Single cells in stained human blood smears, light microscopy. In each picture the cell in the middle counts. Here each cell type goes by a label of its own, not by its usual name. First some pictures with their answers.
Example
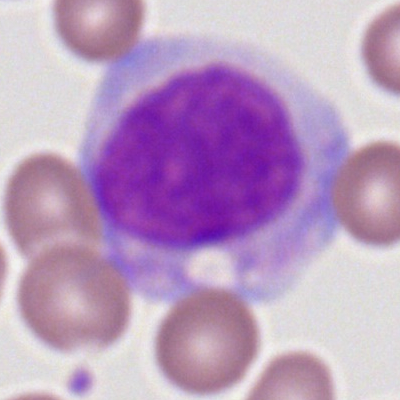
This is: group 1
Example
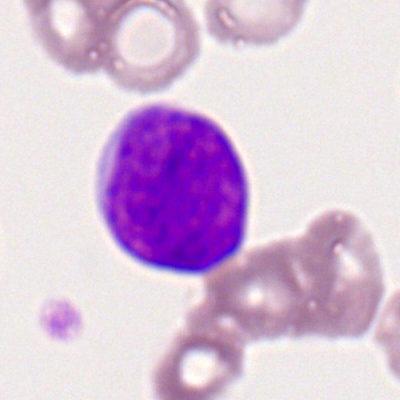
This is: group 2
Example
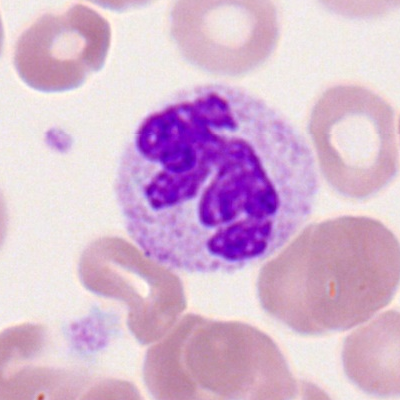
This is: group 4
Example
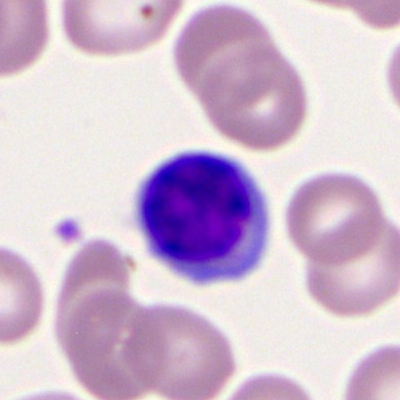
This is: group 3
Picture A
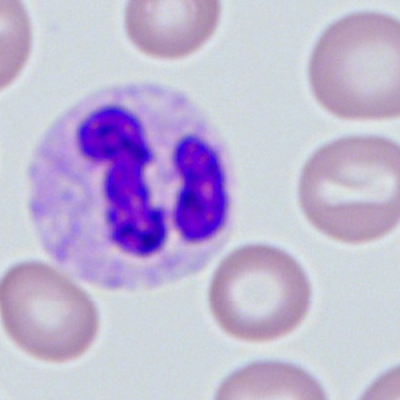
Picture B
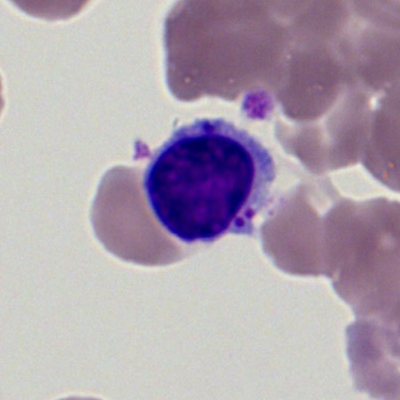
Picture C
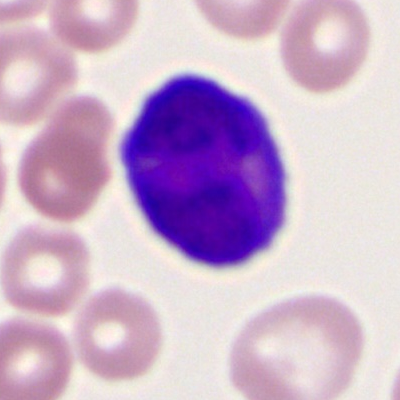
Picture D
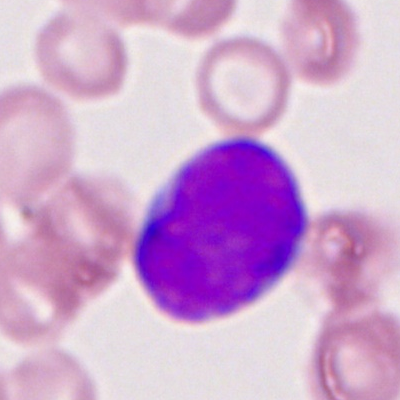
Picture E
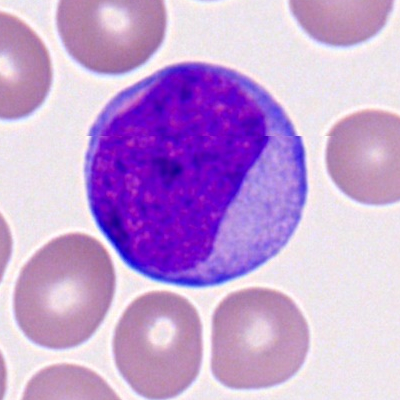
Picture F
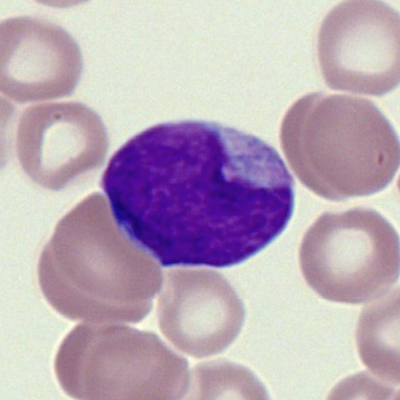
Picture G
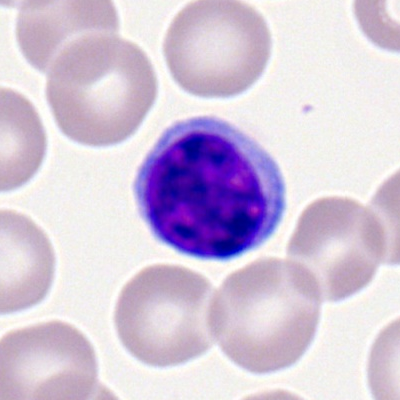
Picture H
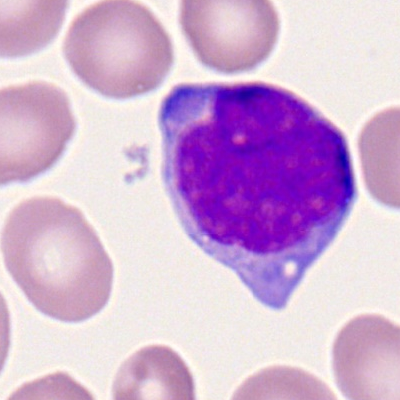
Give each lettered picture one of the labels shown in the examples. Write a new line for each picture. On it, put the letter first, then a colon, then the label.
A: group 4
B: group 3
C: group 2
D: group 2
E: group 2
F: group 2
G: group 3
H: group 2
